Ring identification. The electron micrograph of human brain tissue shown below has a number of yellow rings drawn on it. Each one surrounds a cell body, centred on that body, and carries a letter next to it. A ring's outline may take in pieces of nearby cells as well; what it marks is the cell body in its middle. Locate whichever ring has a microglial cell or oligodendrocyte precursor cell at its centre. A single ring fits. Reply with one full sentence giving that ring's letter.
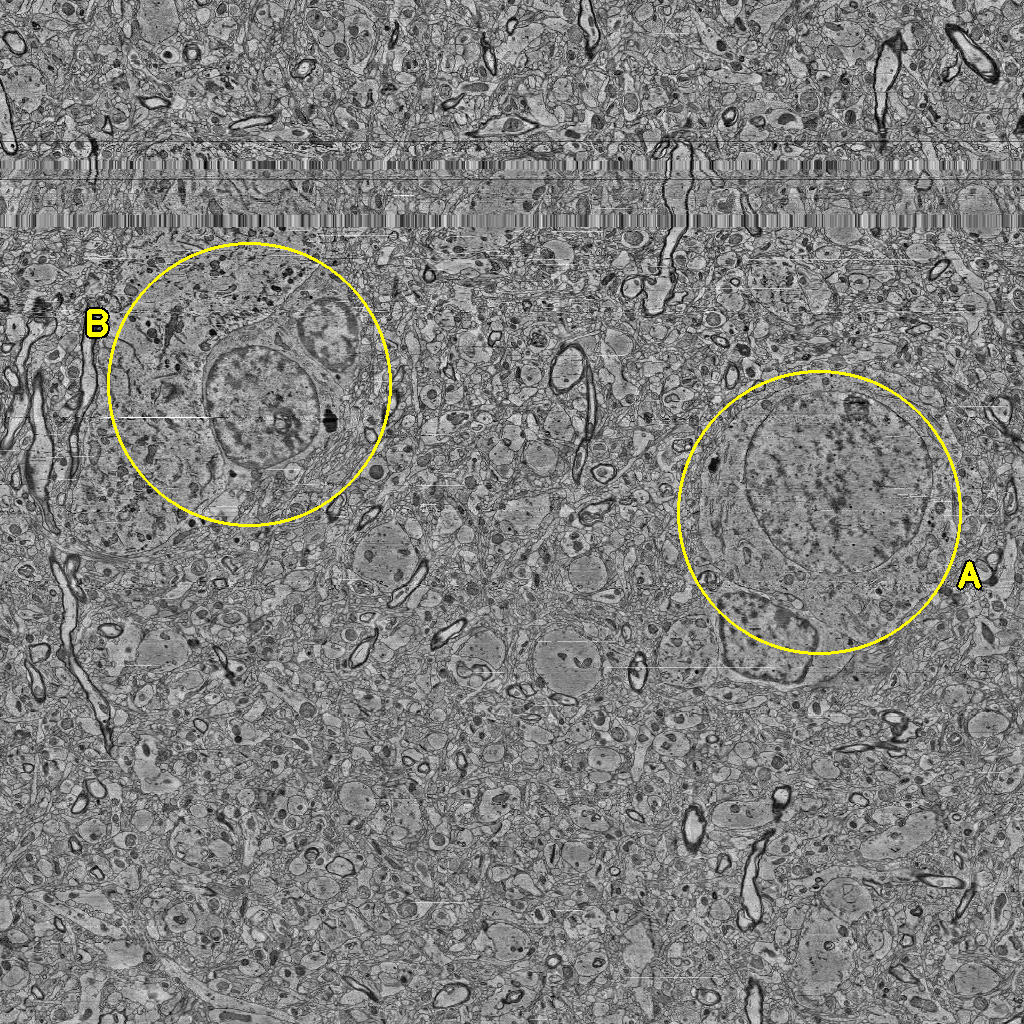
The letter A belongs to the ring centred on a cell of that kind.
